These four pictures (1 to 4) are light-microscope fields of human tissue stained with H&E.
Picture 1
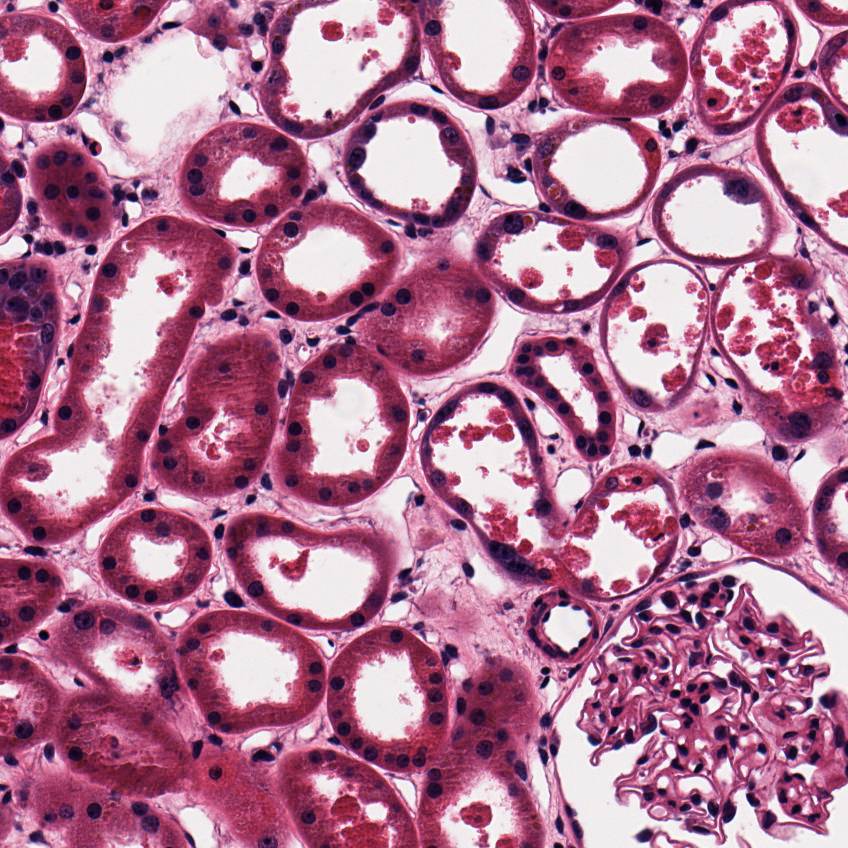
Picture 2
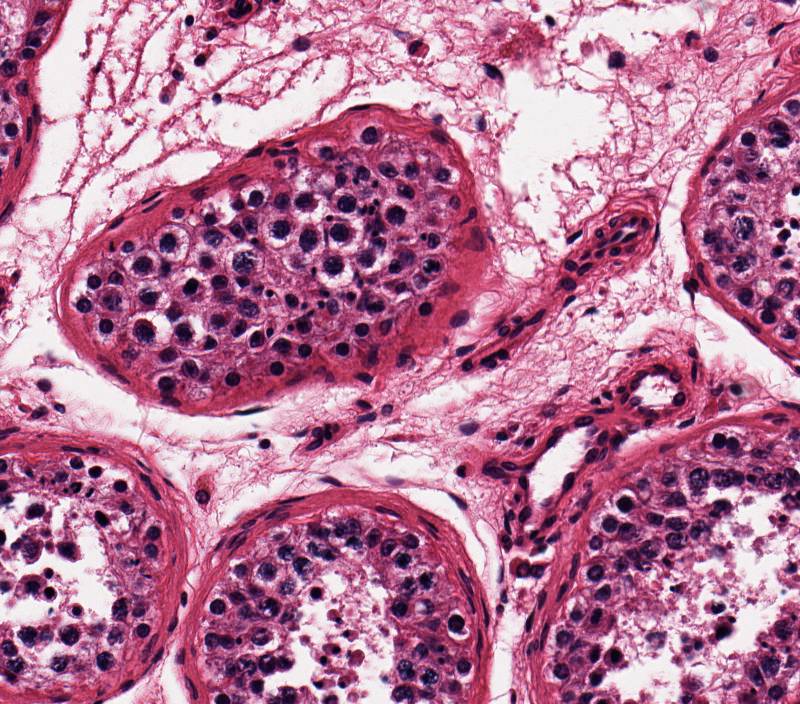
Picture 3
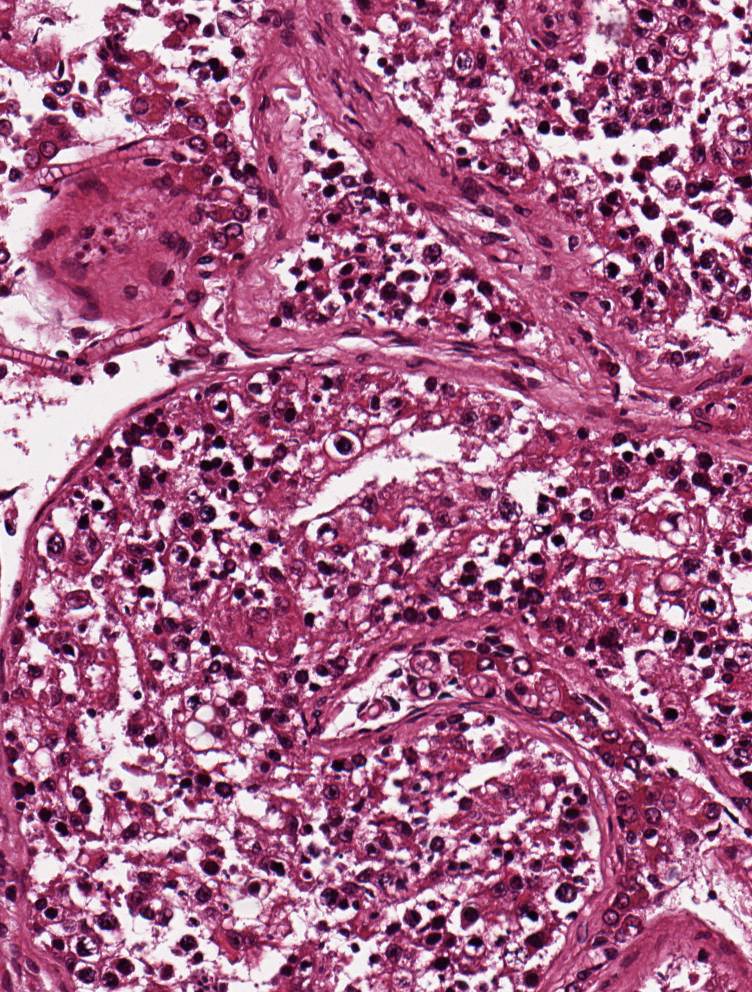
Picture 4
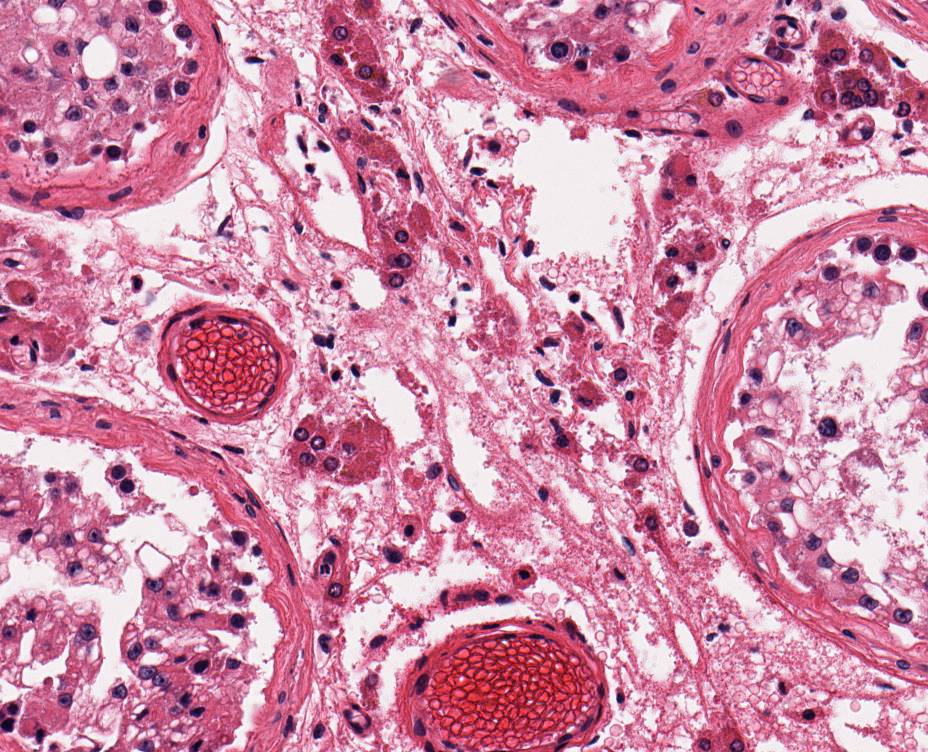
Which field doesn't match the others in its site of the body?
1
